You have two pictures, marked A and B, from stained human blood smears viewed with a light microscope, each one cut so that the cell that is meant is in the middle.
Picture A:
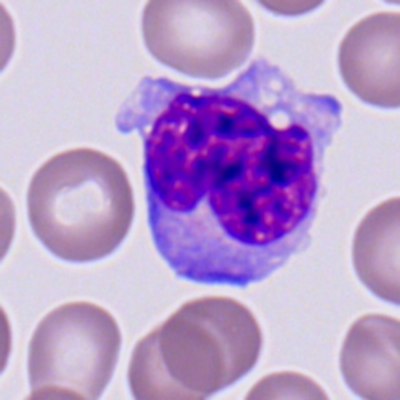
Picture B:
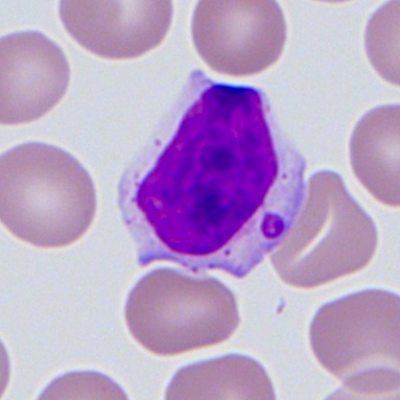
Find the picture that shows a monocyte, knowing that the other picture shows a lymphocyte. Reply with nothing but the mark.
A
